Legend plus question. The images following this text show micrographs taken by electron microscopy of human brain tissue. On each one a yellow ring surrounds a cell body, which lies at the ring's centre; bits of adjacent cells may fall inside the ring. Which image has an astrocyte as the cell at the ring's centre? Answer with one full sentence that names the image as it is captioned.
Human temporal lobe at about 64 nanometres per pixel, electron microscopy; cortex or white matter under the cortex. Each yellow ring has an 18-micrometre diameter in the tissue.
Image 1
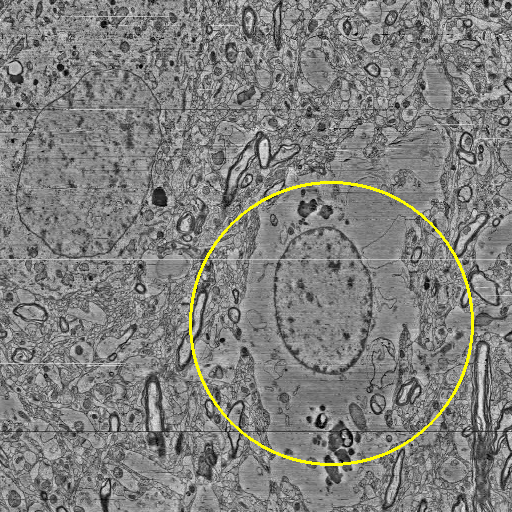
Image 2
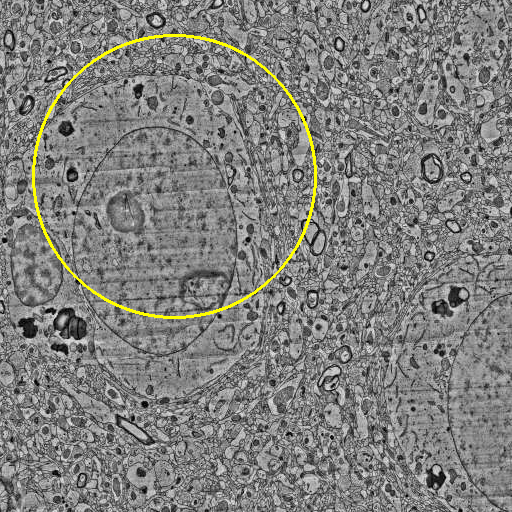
The centred cell that was asked for is the one in Image 1.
